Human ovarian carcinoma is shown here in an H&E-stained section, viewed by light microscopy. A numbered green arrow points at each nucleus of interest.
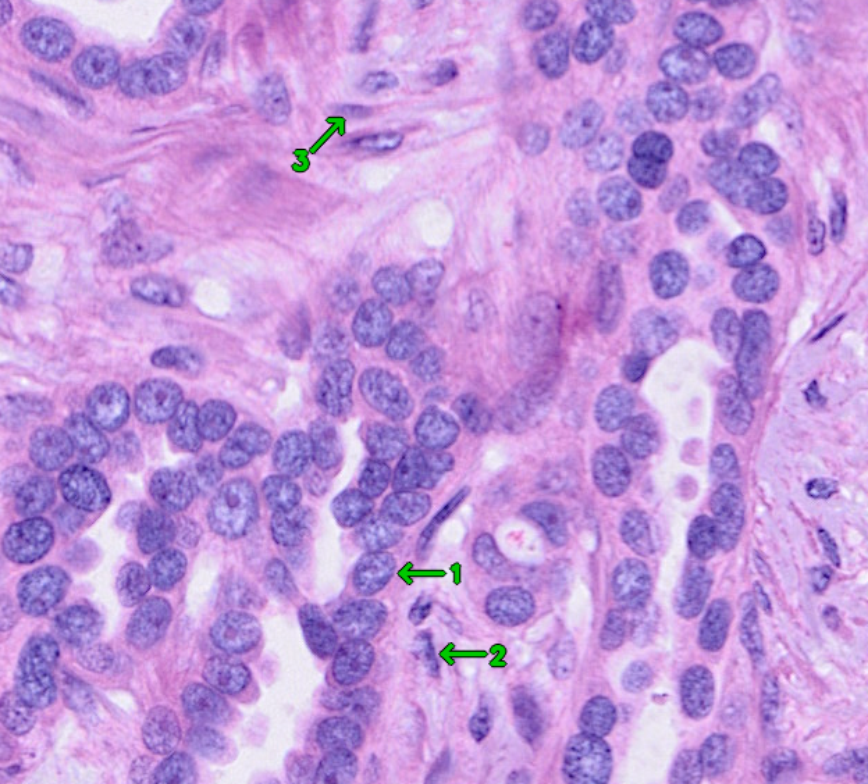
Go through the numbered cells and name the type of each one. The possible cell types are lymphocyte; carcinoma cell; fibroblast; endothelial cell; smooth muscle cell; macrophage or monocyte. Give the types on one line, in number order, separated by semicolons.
carcinoma cell; fibroblast; fibroblast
